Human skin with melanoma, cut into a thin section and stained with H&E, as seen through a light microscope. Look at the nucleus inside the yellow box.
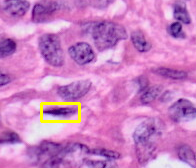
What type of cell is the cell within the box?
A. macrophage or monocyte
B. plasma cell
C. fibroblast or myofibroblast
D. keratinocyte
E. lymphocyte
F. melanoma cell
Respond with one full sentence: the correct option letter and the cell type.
Option C is the correct one: the cell within the box is a fibroblast or myofibroblast.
